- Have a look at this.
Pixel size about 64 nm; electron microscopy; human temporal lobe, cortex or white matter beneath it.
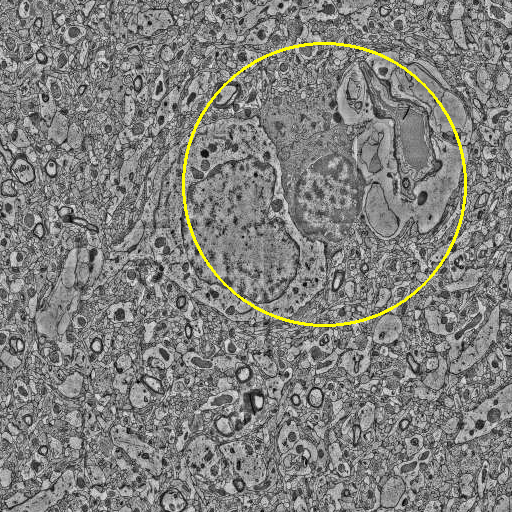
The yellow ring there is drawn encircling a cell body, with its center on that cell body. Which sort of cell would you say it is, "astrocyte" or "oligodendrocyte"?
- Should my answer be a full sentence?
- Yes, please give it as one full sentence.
For this picture, an oligodendrocyte is the cell where the yellow ring has its center.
